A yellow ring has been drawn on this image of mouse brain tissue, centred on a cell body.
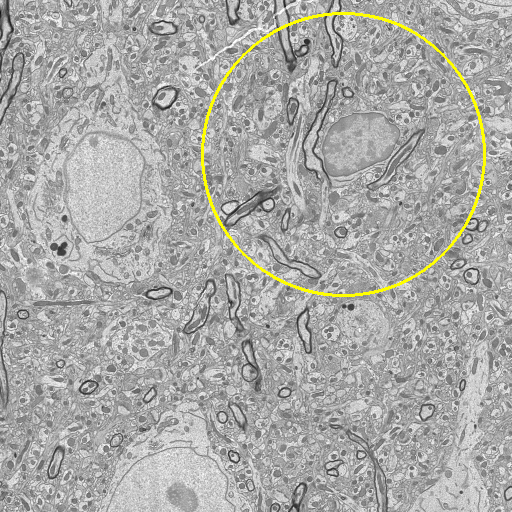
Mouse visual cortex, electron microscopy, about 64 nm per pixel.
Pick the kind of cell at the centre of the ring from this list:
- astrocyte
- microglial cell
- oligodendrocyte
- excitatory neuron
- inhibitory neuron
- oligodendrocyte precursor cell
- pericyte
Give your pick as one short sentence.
The centre of the ring holds a microglial cell.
